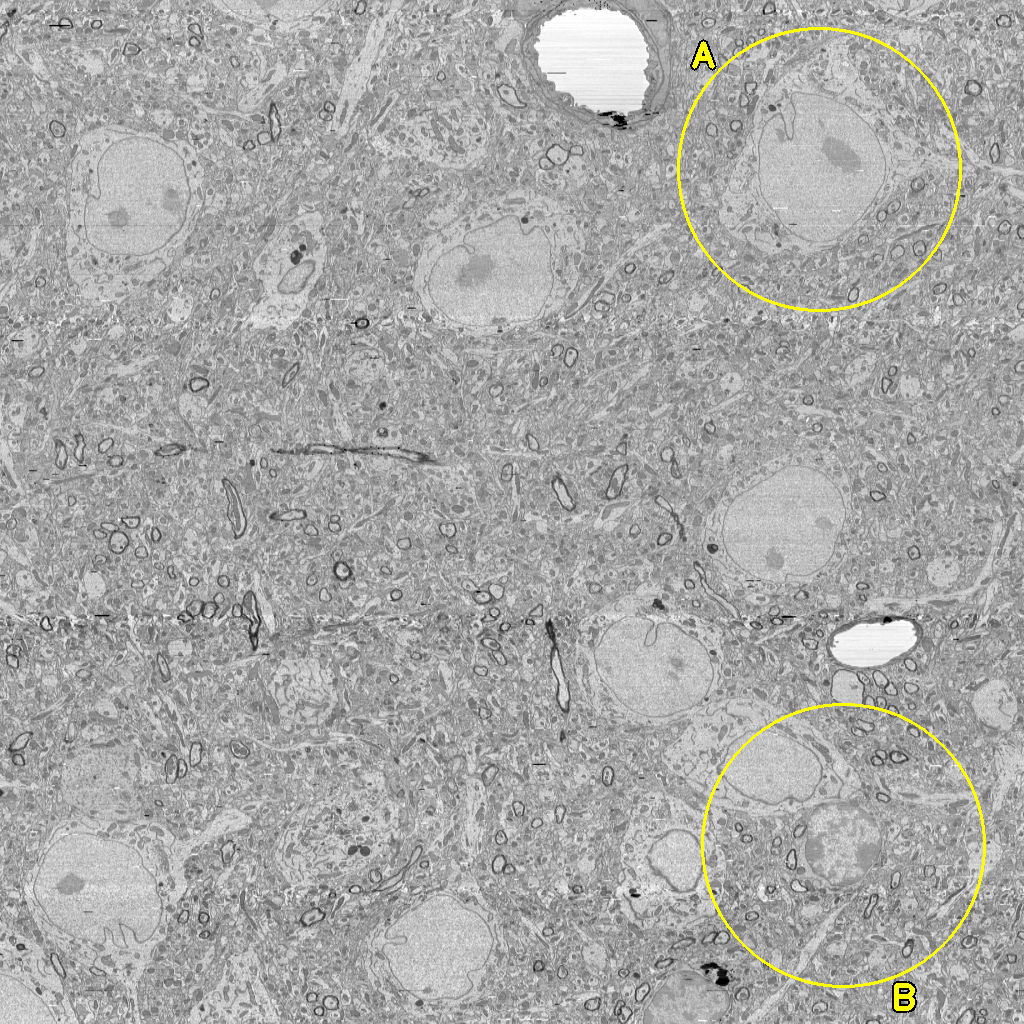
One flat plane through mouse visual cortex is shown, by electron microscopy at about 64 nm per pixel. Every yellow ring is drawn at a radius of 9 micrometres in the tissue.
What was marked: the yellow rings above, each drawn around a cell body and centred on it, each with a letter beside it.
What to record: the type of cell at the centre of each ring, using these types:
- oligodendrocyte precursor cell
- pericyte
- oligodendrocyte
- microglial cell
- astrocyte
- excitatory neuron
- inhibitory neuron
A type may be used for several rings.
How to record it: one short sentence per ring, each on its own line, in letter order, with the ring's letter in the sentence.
Centred in ring A is an excitatory neuron.
Centred in ring B is an oligodendrocyte.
